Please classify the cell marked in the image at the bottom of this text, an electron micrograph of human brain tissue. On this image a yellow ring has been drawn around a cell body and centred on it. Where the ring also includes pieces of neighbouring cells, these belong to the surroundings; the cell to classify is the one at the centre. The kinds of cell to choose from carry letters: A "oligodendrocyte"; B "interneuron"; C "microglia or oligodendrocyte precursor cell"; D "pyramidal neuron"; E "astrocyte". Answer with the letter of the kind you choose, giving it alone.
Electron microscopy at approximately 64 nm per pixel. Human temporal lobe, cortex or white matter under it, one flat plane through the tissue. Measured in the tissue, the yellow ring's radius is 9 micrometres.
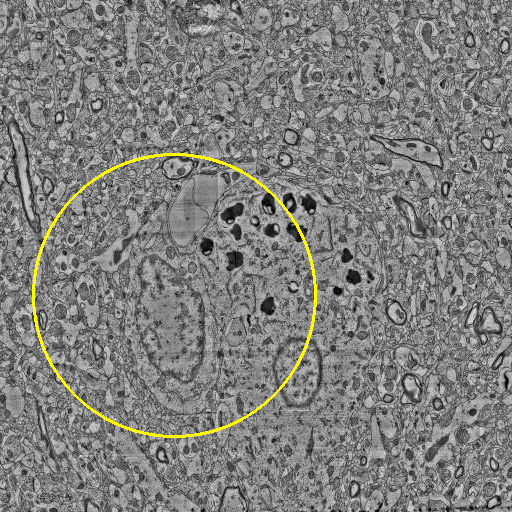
B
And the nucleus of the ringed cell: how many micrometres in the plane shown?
The ringed cell's nucleus is about 7 micrometres long and 5 micrometres wide in this plane.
